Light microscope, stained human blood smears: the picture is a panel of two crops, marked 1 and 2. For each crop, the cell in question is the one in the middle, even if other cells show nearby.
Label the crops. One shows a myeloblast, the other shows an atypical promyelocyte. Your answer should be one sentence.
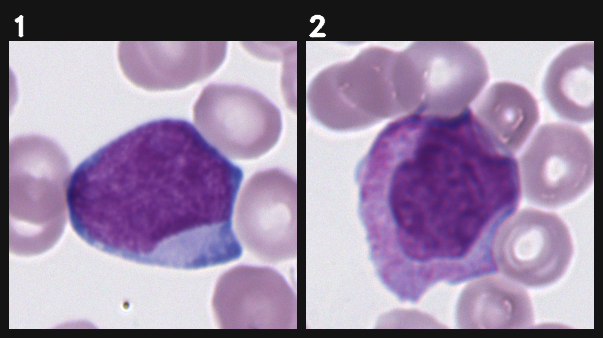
In this set, crop 1 shows a myeloblast and crop 2 shows an atypical promyelocyte.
